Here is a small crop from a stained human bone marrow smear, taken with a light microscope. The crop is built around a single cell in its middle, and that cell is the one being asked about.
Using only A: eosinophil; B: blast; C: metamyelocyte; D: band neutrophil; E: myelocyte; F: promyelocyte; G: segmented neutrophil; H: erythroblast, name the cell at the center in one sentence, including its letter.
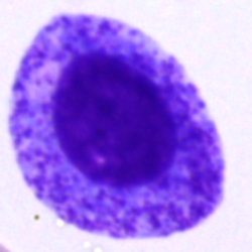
The centered cell is a promyelocyte, which is why option F is right.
